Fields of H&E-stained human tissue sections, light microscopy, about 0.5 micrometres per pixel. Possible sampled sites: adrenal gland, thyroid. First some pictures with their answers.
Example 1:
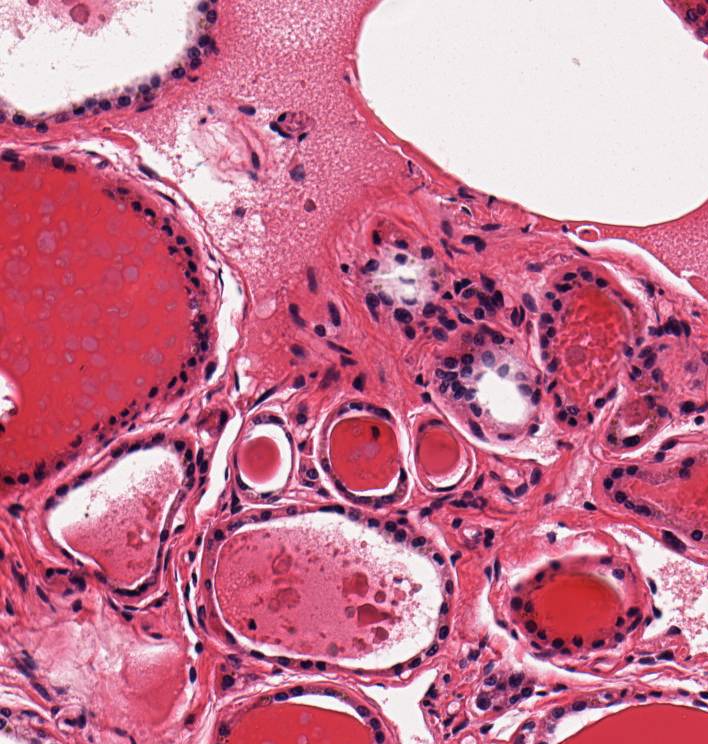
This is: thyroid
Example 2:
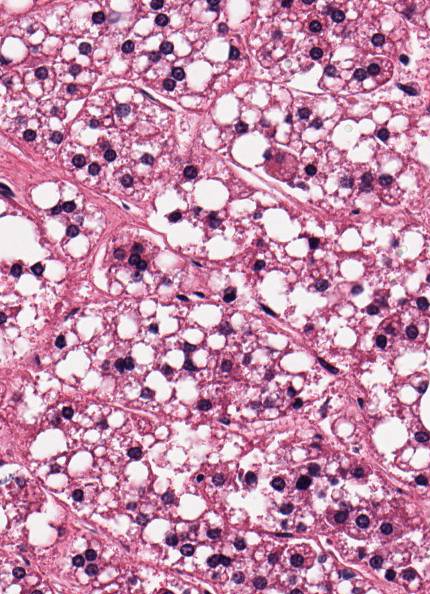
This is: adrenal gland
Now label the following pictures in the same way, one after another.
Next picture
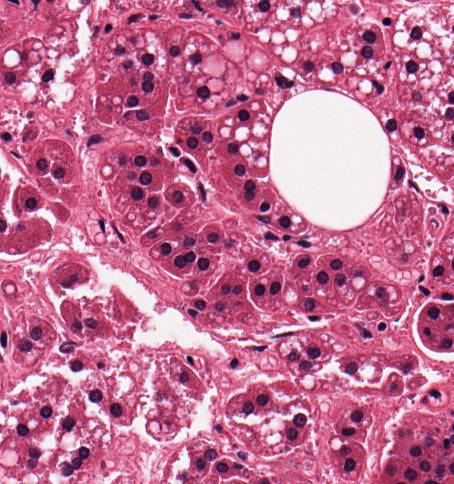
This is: adrenal gland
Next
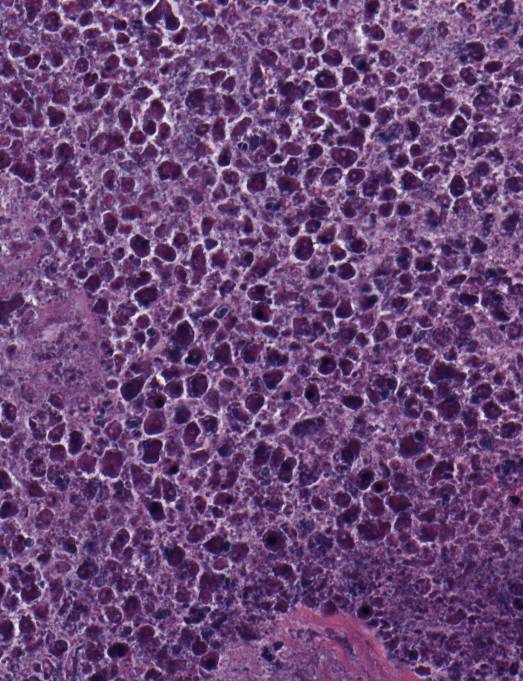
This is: adrenal gland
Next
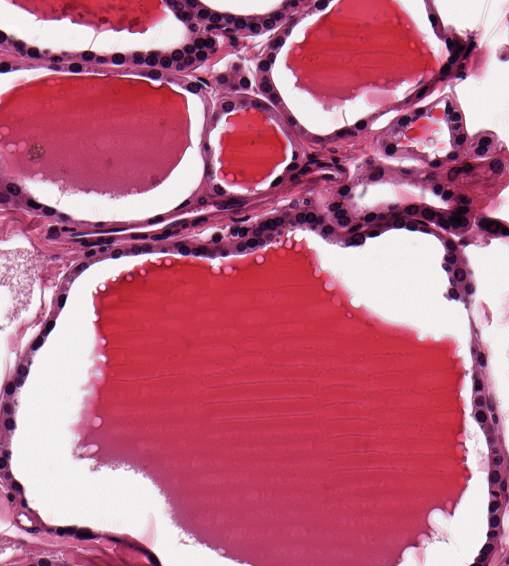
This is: thyroid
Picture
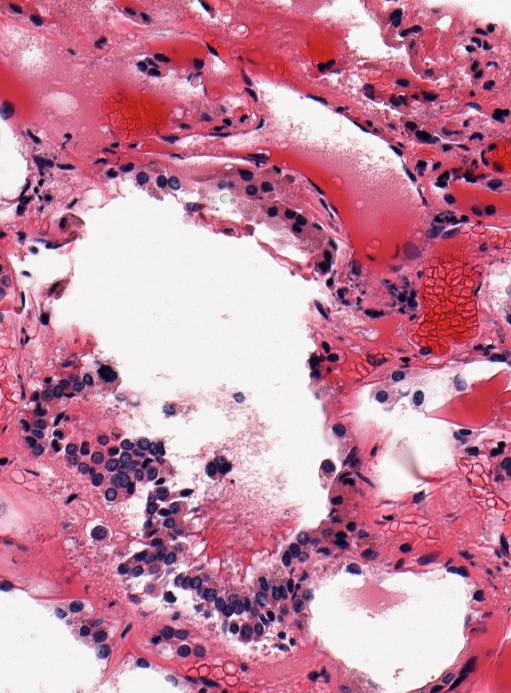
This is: thyroid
